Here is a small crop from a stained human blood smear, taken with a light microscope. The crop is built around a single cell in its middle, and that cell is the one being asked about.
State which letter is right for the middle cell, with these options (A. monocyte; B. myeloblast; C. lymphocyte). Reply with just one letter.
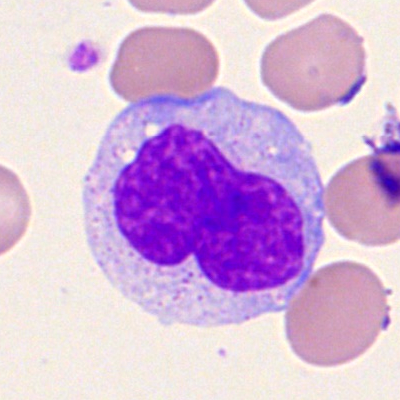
A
